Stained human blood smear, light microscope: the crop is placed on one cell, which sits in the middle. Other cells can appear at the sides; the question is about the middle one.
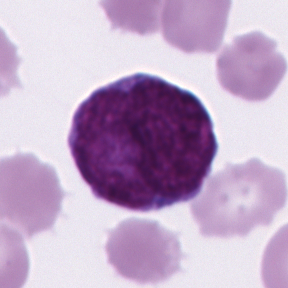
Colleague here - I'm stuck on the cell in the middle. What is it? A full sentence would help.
Answering briefly, the cell in the middle is a myeloblast.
